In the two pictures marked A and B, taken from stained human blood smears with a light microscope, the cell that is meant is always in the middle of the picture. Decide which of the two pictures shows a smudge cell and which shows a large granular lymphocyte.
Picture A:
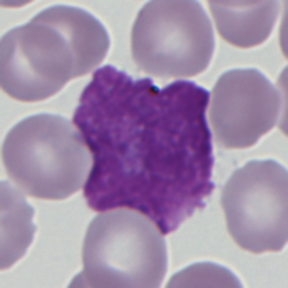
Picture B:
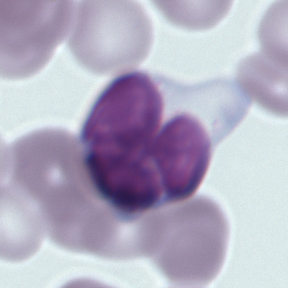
A: smudge cell
B: large granular lymphocyte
